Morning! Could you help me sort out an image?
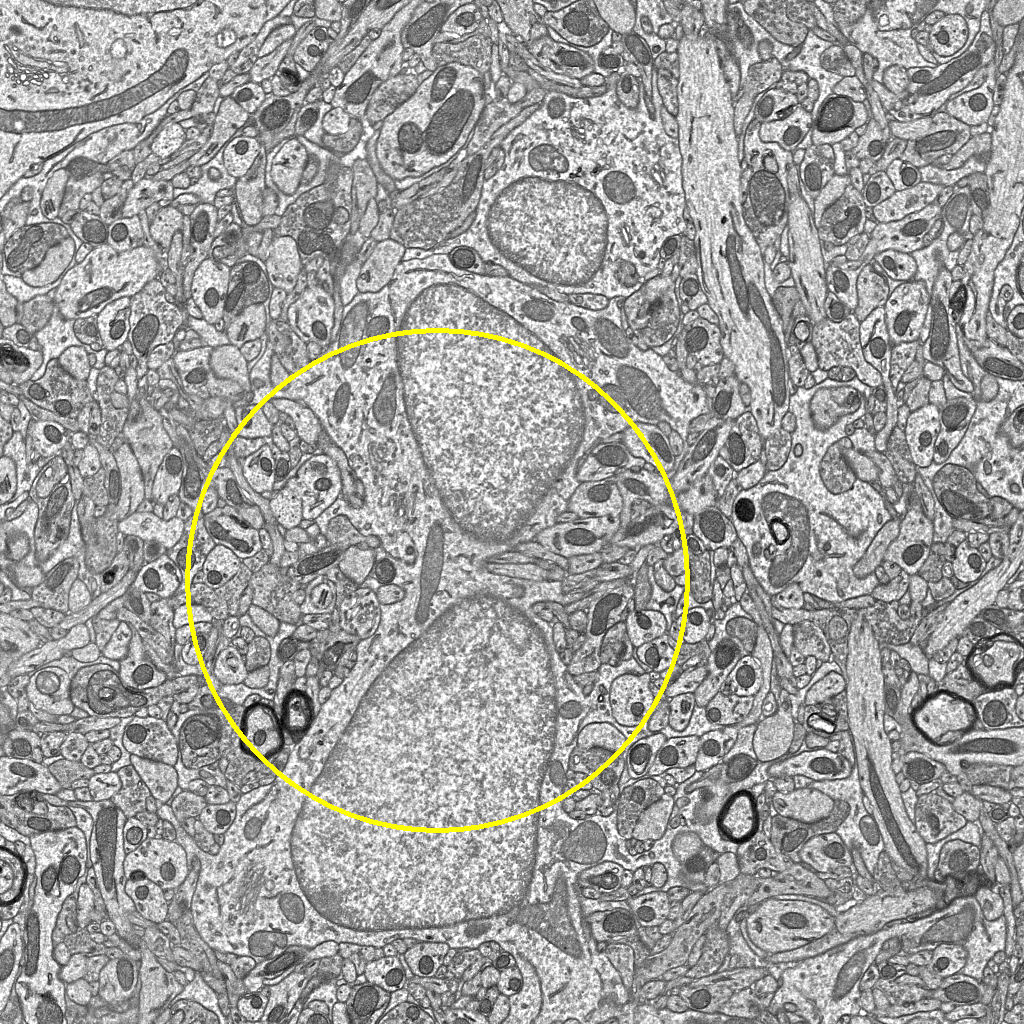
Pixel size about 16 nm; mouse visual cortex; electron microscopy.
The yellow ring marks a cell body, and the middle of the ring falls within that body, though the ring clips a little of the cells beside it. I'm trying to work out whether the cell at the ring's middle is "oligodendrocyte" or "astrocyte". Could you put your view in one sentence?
The cell body at the ring's middle is that of an astrocyte.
